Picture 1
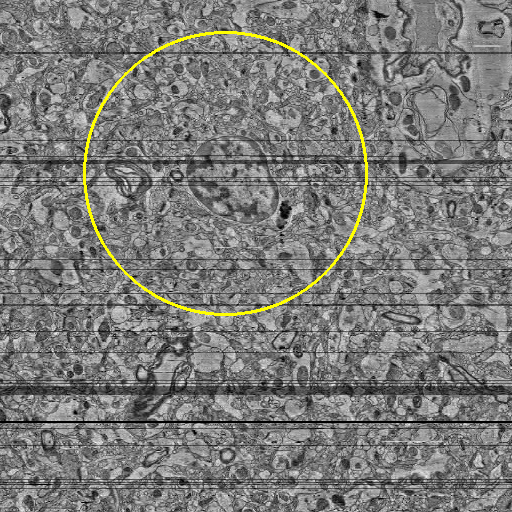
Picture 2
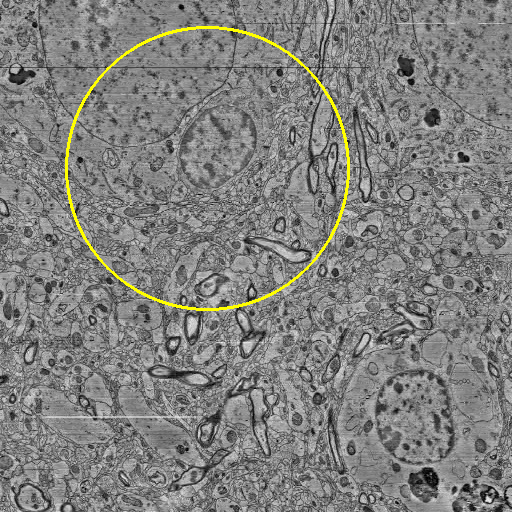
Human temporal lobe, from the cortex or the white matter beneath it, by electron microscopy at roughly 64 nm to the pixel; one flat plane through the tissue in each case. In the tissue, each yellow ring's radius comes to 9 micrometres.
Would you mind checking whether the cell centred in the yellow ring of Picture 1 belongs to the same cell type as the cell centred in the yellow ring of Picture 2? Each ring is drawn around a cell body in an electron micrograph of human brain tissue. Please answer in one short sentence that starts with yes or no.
No, the two cells are of two types.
